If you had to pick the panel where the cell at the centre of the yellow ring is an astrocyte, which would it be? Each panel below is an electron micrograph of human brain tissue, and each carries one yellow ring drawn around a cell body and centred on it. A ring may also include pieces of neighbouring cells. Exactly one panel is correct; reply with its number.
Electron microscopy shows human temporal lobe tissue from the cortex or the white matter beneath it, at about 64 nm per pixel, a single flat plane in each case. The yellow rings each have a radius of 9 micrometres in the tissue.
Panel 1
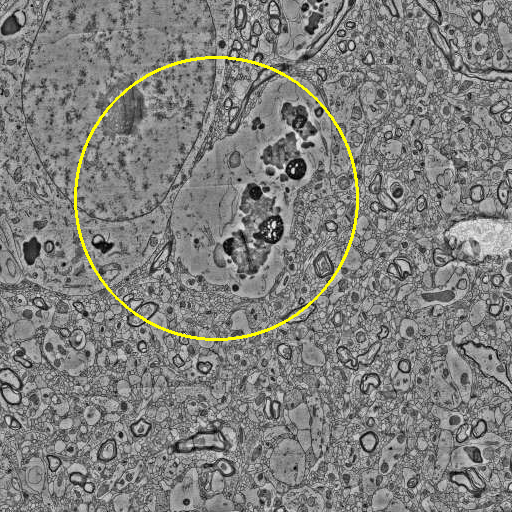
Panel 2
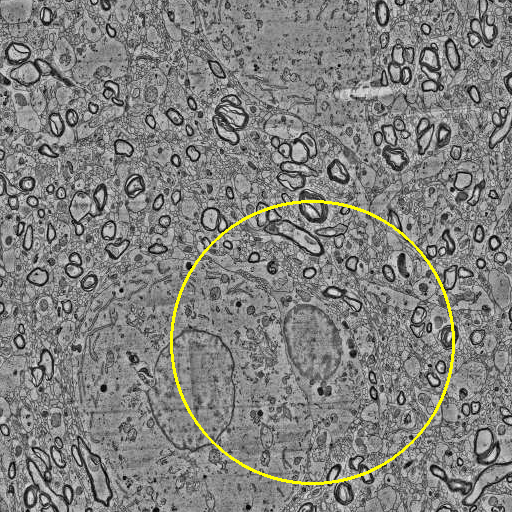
1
